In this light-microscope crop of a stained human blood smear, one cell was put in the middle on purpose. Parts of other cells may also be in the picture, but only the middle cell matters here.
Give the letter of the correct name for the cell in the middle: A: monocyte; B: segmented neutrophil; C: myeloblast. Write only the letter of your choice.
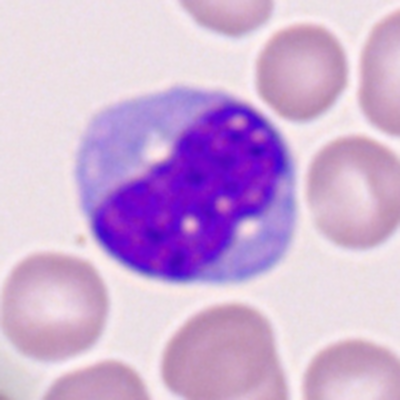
A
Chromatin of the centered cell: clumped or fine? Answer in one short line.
Just so you know, its chromatin is coarsely clumped.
